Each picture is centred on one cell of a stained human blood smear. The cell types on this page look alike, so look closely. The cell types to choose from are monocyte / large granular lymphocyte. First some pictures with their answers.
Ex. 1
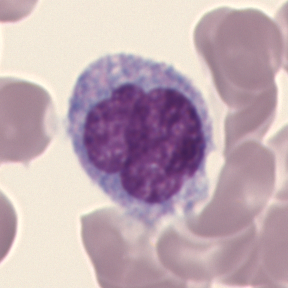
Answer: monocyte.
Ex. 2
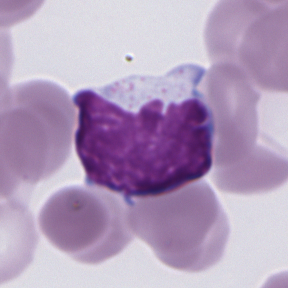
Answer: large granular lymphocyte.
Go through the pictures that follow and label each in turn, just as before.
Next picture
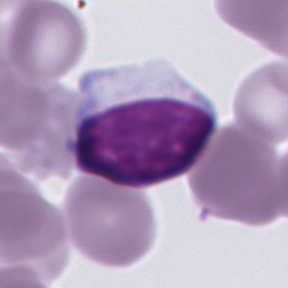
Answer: large granular lymphocyte.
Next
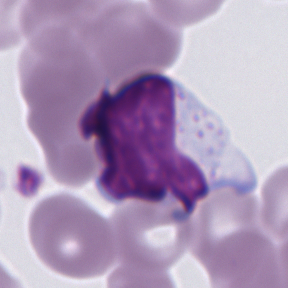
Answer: large granular lymphocyte.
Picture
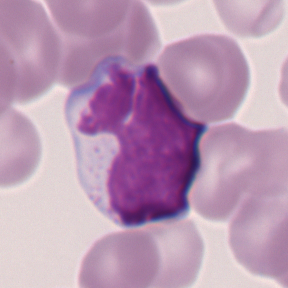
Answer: large granular lymphocyte.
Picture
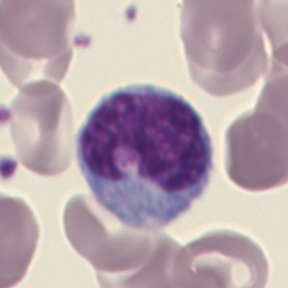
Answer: monocyte.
